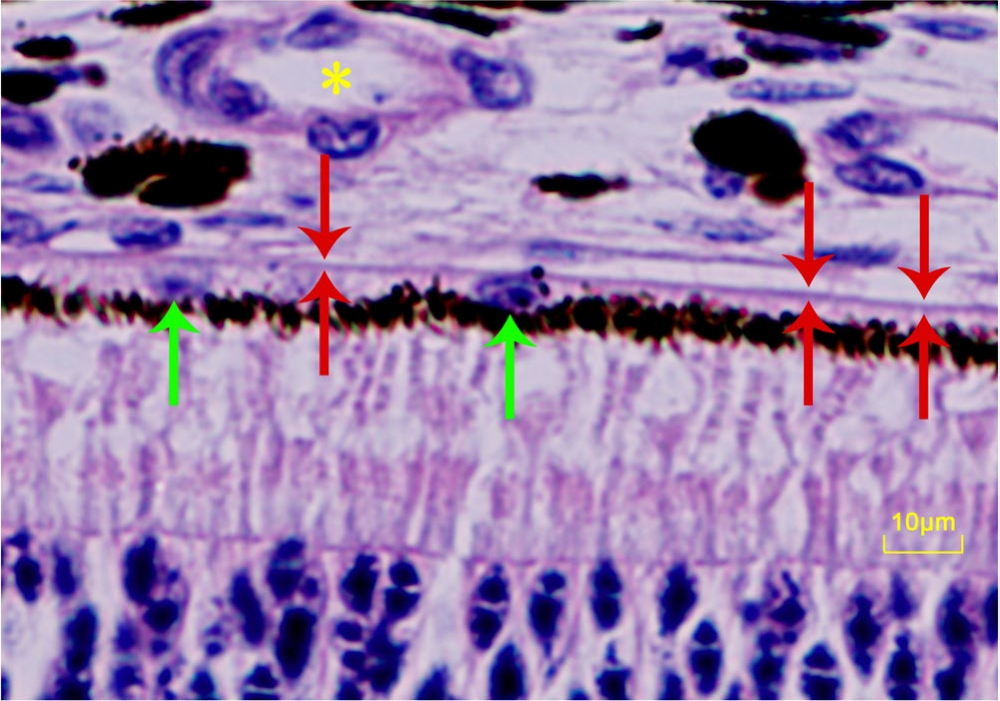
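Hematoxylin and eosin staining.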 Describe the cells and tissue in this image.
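This section shows the back of the eye, with the pigmented vascular choroid at the top, a single layer of pigmented epithelium in the middle, and photoreceptor layers of the retina below. A thin, pale pink membrane separates the choroid from a continuous single row of epithelial cells. These epithelial cells are crowded with dark brown-black granules, and their lower edge faces pale, vertically striated photoreceptor segments, with densely stained dark-blue nuclei at the bottom.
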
